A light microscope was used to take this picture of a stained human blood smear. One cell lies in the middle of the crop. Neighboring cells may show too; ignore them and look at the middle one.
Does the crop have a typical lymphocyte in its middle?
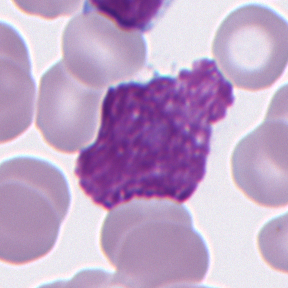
no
